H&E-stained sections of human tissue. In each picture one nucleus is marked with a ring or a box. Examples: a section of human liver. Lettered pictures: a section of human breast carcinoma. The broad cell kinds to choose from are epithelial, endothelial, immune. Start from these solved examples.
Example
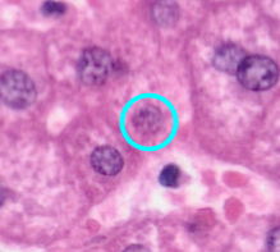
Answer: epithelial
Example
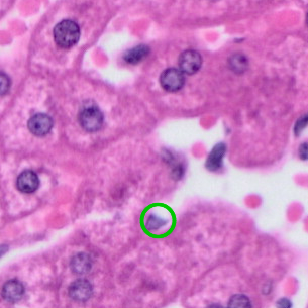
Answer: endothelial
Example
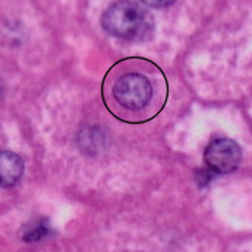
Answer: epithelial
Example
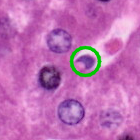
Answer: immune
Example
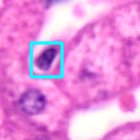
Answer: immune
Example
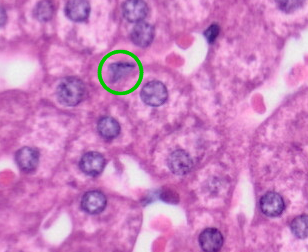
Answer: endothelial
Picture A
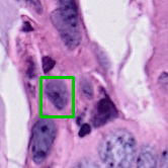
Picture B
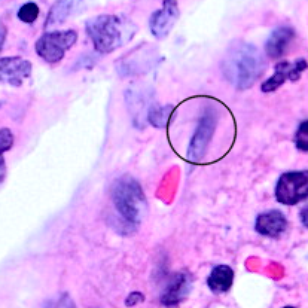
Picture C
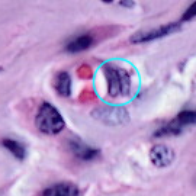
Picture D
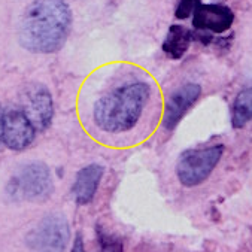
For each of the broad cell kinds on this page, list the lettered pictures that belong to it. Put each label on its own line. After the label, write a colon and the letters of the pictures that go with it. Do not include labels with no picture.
epithelial: A, D
endothelial: B, C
